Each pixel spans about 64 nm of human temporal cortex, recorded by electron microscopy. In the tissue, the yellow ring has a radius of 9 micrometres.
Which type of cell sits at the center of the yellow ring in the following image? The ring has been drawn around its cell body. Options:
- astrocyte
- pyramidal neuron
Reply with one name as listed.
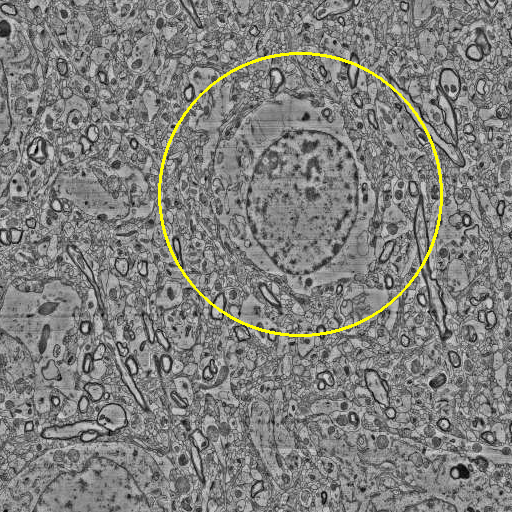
astrocyte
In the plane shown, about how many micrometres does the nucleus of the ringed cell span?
In this plane the nucleus measures roughly 9 by 7 micrometres.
